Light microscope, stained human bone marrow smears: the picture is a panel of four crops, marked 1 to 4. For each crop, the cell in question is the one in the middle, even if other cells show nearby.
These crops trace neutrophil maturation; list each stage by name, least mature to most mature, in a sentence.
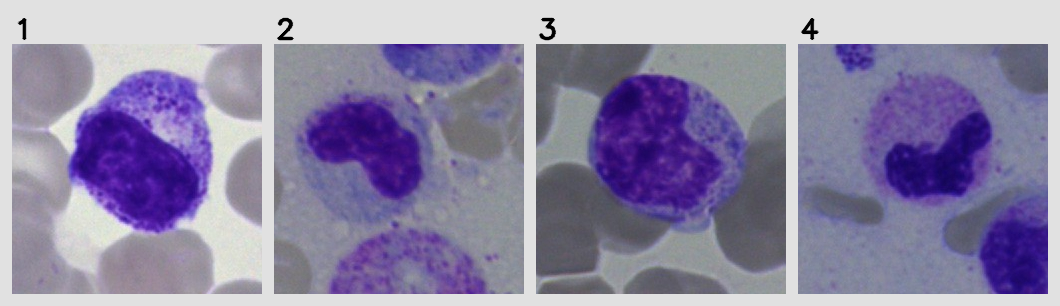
The maturation sequence, from earliest to latest, is crop 1 (a myelocyte), crop 3 (a metamyelocyte), crop 2 (a band neutrophil) and crop 4 (a segmented neutrophil).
